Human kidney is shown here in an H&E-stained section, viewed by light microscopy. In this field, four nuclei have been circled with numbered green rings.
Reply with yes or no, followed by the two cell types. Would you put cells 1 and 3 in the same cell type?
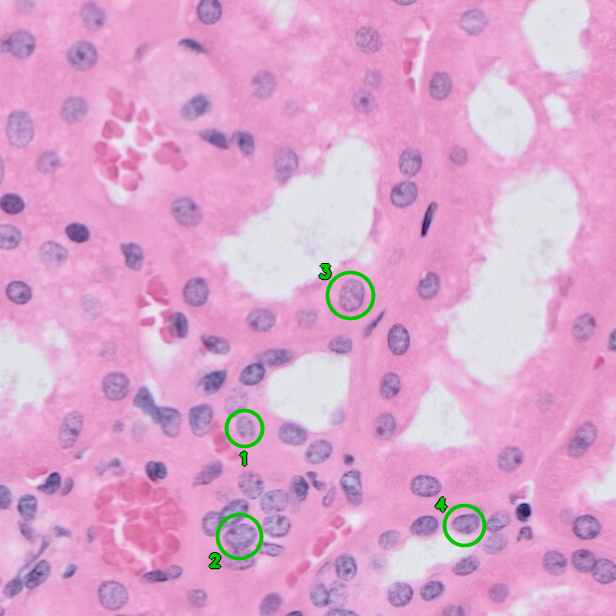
No, rather, cell 1 is a collecting duct cell and cell 3 is a proximal tubule cell.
